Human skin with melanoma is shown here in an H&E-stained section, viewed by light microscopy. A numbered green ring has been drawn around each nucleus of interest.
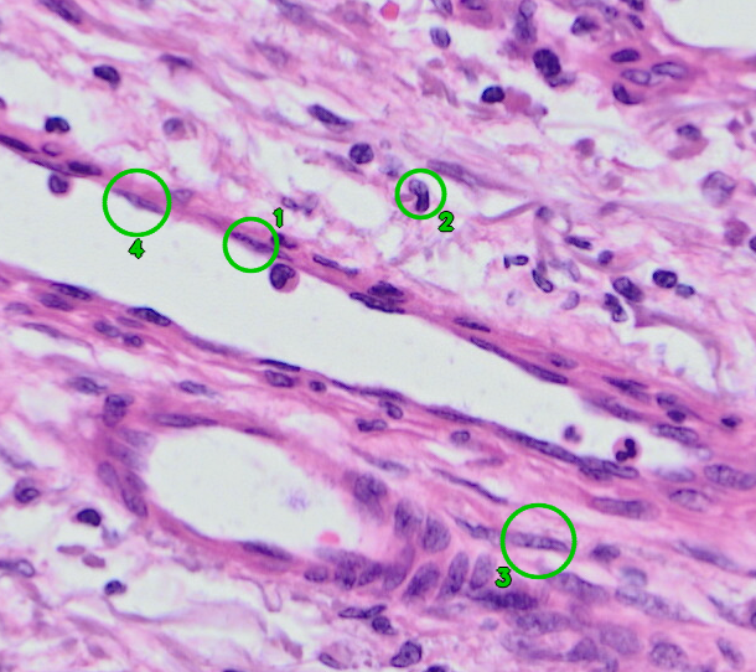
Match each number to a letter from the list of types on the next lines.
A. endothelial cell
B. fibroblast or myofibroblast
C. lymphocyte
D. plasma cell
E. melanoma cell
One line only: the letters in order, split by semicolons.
A; C; B; A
